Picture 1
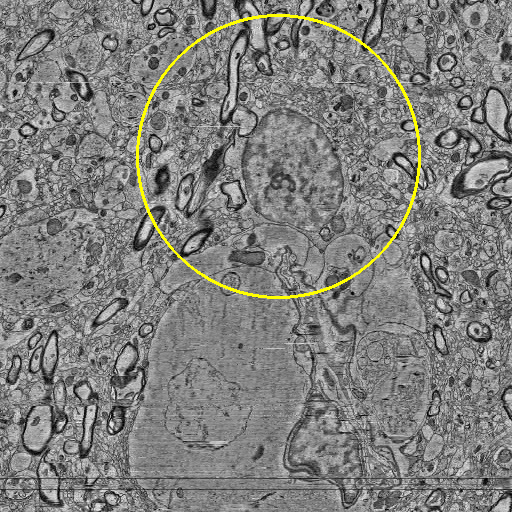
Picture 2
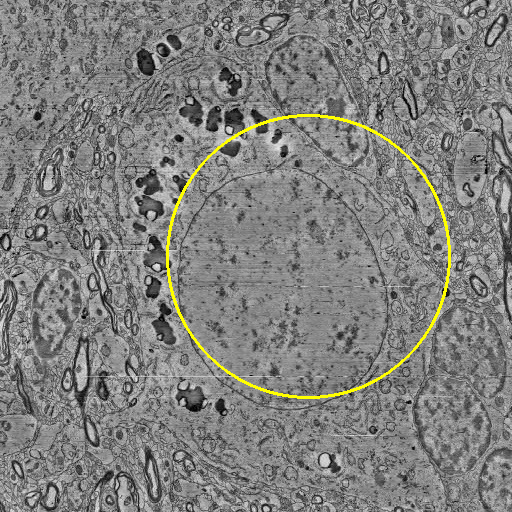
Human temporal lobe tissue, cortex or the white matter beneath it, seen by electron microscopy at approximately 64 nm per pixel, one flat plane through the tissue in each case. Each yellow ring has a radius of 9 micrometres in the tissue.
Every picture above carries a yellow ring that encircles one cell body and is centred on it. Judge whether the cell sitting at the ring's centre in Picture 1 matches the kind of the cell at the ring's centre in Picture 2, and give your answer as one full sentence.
No, the cells centred in the rings of Pictures 1 and 2 belong to two kinds.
